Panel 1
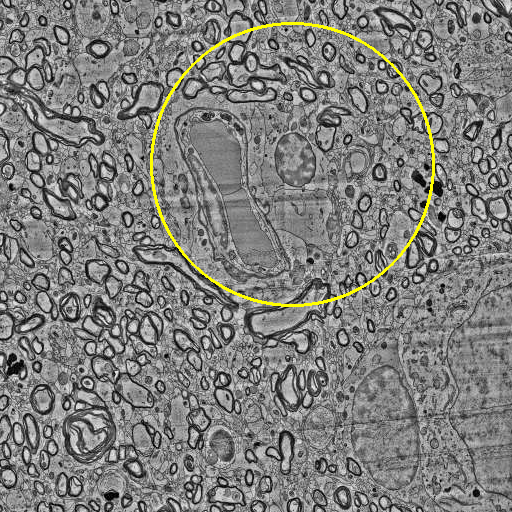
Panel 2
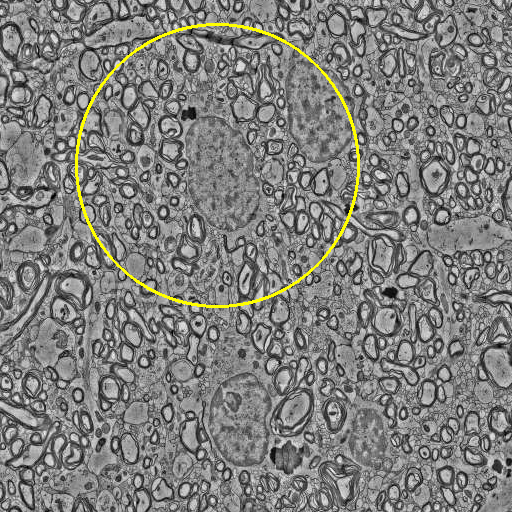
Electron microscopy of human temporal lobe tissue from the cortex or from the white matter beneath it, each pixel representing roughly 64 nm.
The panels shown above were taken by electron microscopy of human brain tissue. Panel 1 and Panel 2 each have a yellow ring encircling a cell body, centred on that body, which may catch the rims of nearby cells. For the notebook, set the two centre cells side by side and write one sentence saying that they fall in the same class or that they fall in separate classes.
The centred cells of Panel 1 and Panel 2 fall in separate classes.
